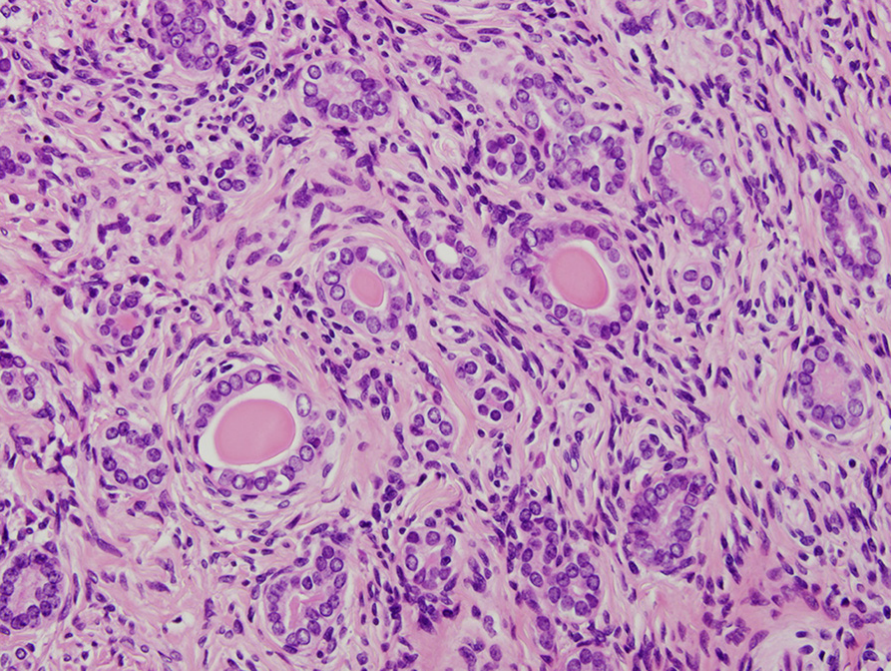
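Many small, round tubules are packed closely together in a cellular stroma of spindle cells with elongated nuclei. Each tubule is lined by a single layer of cuboidal cells with round, fairly uniform nuclei, and several lumina hold dense, homogeneous pink secretion.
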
